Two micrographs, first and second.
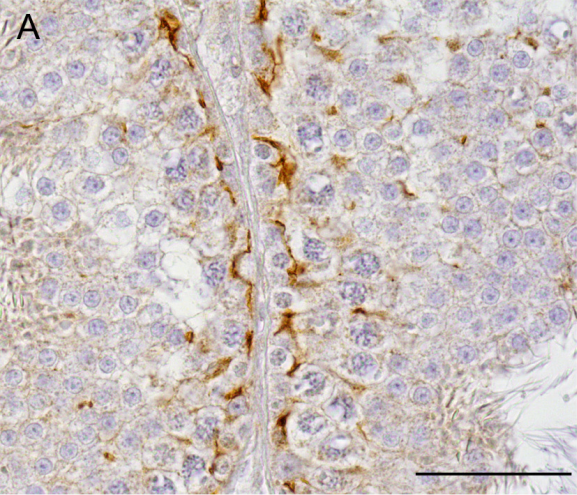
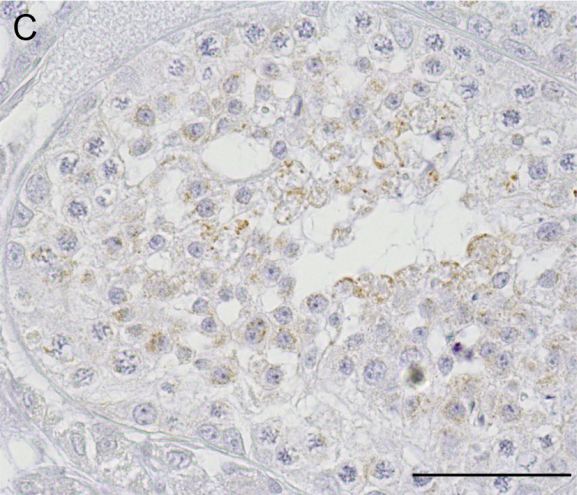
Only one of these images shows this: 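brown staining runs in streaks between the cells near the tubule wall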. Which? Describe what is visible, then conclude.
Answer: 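First image: strong brown branching streaks lie between cells along the bases of two adjoining tubules.
Answer: the first image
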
